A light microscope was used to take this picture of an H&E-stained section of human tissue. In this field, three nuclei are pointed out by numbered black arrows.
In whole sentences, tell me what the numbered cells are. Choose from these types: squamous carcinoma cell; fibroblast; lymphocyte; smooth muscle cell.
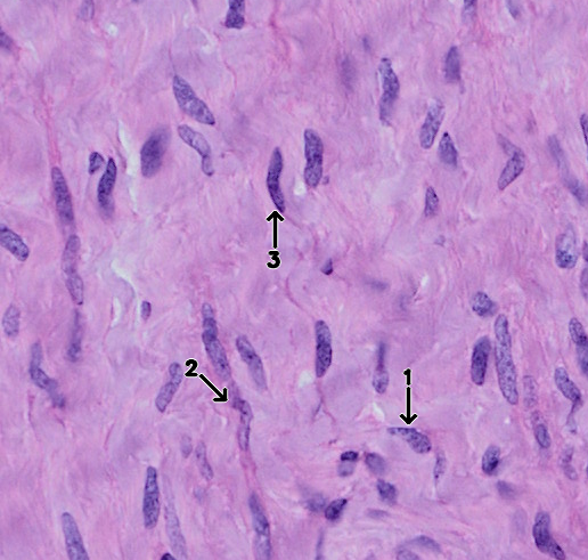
Cells 1 and 3 are fibroblasts. Cell 2 is a smooth muscle cell.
